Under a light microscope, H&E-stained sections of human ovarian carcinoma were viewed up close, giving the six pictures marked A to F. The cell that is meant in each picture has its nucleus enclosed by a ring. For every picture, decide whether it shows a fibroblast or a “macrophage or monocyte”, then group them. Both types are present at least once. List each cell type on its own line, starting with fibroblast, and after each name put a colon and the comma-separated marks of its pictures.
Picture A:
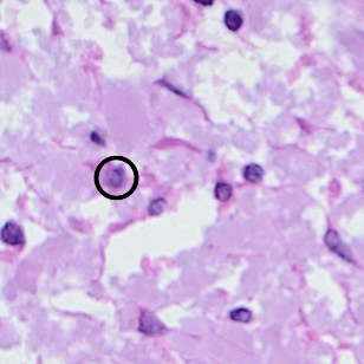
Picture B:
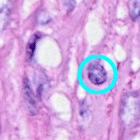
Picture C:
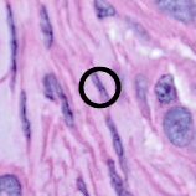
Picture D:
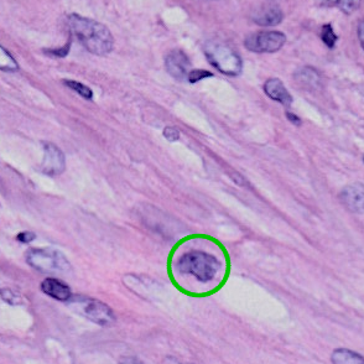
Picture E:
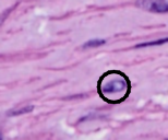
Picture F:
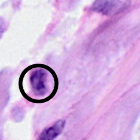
fibroblast: C, E
macrophage or monocyte: A, B, D, F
